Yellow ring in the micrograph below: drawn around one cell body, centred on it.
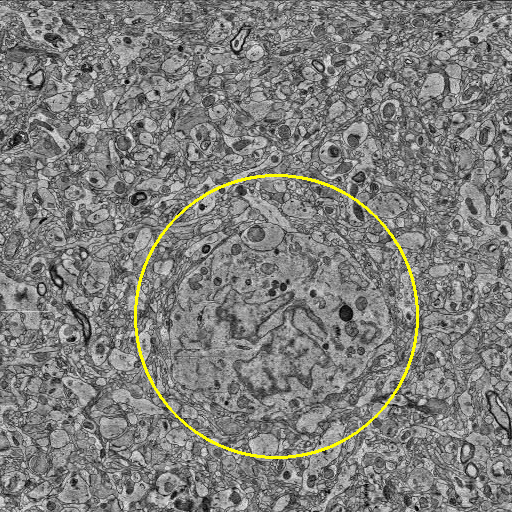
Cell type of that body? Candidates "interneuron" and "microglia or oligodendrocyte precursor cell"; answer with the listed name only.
interneuron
